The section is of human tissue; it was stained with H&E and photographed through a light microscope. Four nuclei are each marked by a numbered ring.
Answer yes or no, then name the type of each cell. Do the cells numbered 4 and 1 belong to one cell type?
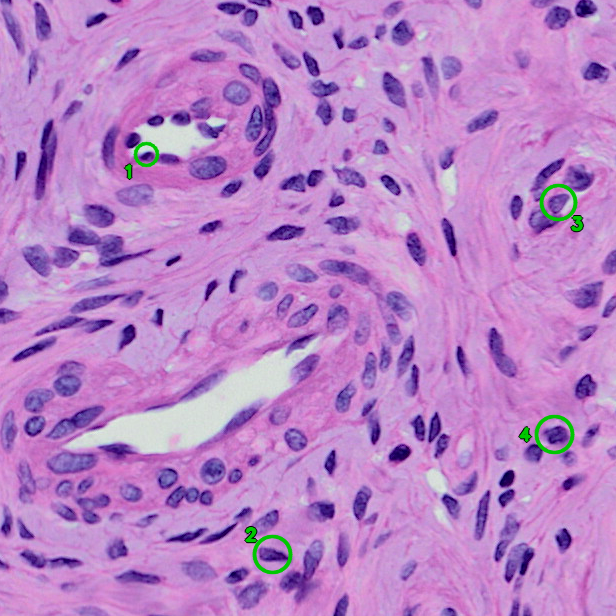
No, sorry to say, cell 4 is a fibroblast and cell 1 is an endothelial cell.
